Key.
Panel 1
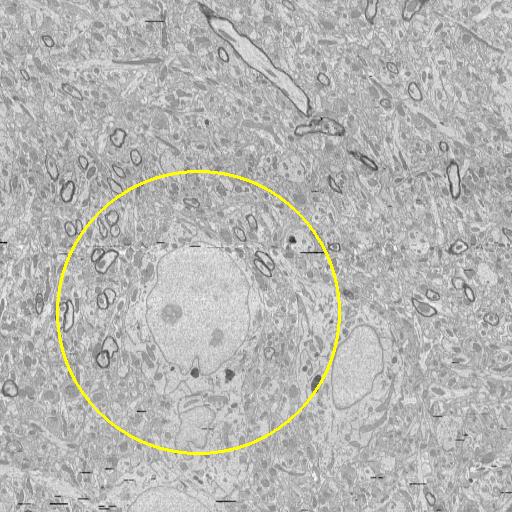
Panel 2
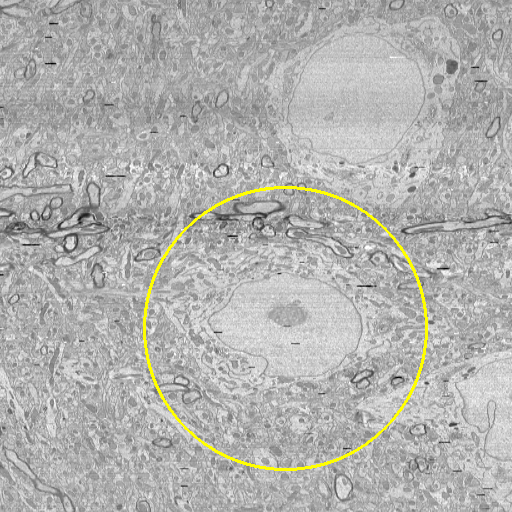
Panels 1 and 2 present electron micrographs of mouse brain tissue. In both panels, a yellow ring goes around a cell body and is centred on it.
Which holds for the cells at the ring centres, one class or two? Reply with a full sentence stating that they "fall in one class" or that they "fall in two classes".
Taken together, the ring-centre cells of the two panels fall in two classes.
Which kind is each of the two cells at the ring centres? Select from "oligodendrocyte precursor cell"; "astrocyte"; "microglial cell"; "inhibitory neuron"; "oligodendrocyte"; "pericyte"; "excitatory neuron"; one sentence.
The cell at the centre of the ring is an excitatory neuron in the first picture and an inhibitory neuron in the second.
